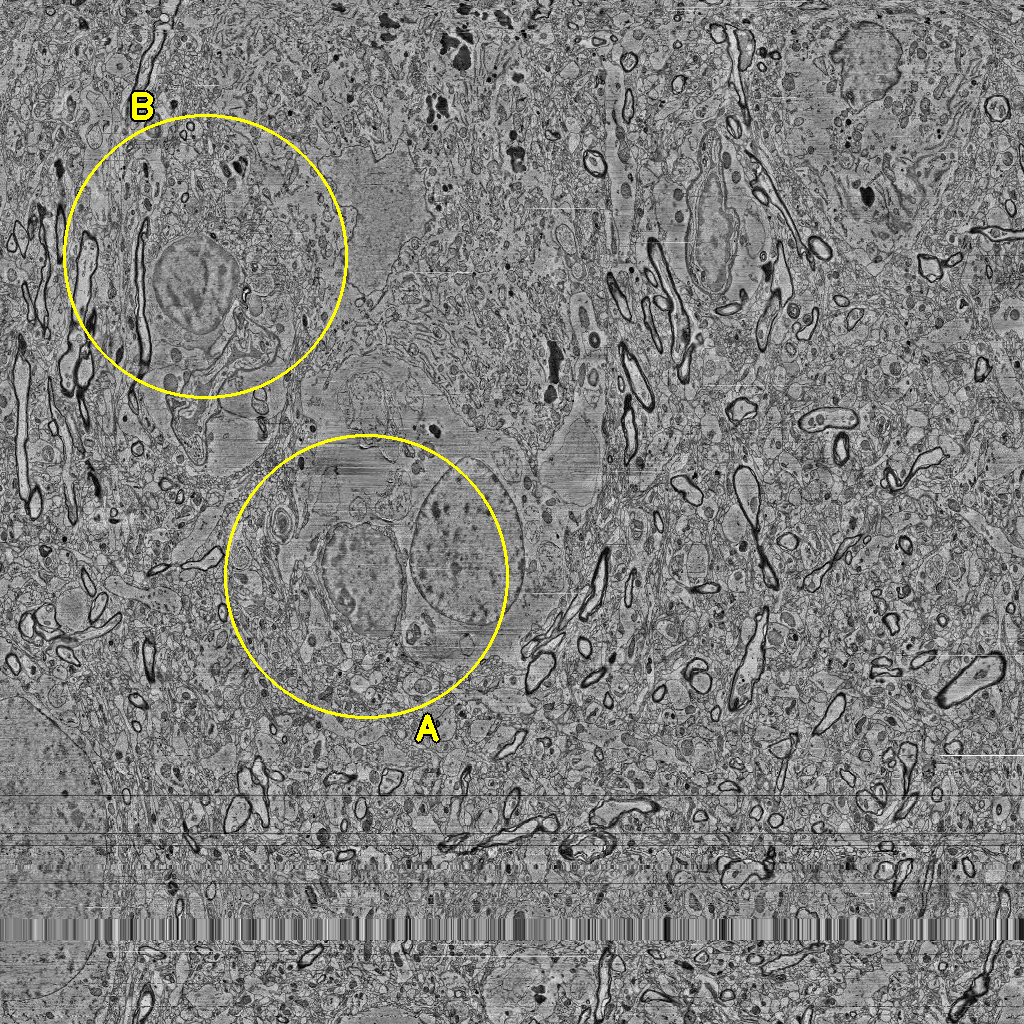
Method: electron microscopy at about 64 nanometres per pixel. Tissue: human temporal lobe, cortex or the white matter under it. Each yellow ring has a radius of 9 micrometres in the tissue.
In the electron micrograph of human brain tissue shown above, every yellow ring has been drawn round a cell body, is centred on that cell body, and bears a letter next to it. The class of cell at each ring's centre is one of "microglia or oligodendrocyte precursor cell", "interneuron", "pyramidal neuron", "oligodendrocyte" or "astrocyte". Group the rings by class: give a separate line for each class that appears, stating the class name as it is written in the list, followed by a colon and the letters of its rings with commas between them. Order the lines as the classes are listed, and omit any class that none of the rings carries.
oligodendrocyte: A, B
